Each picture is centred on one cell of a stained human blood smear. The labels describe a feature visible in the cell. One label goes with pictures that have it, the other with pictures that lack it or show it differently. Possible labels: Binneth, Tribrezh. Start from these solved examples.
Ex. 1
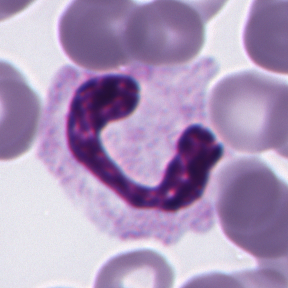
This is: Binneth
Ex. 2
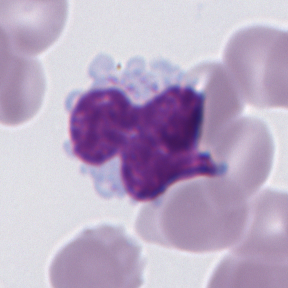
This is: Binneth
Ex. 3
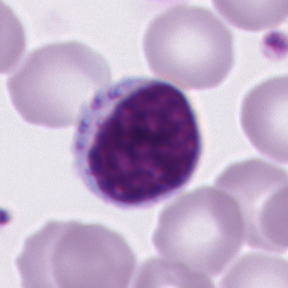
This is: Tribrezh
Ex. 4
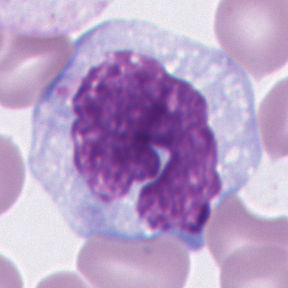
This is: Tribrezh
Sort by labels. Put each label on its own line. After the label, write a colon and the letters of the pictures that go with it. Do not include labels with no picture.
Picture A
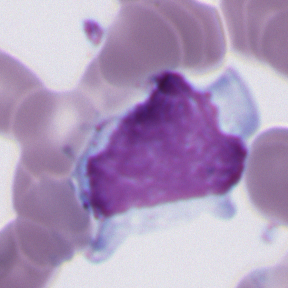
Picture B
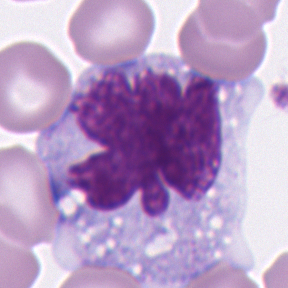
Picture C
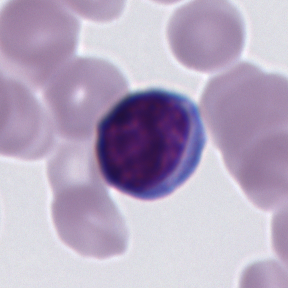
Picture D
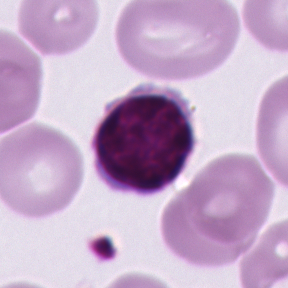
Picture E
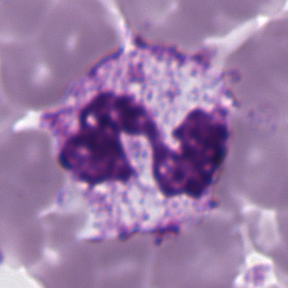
Binneth: A, B, D, E
Tribrezh: C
